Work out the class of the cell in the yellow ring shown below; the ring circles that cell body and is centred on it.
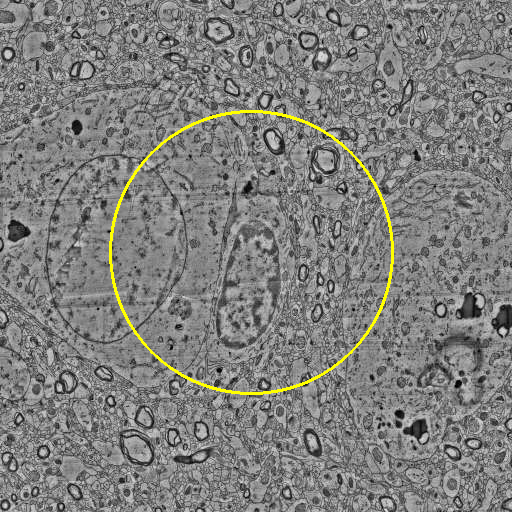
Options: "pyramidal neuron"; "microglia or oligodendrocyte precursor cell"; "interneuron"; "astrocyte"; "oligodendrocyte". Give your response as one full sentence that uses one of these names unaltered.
The body ringed in yellow, right at the ring's centre, is that of a microglial cell or oligodendrocyte precursor cell.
